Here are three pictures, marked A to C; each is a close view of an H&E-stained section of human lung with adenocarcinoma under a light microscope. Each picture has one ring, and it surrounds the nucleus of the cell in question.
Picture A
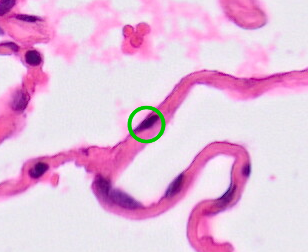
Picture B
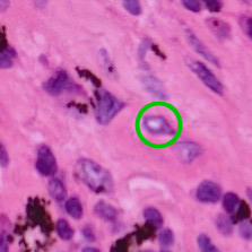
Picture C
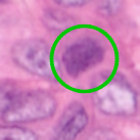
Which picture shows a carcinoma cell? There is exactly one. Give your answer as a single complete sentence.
Picture C shows the carcinoma cell.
